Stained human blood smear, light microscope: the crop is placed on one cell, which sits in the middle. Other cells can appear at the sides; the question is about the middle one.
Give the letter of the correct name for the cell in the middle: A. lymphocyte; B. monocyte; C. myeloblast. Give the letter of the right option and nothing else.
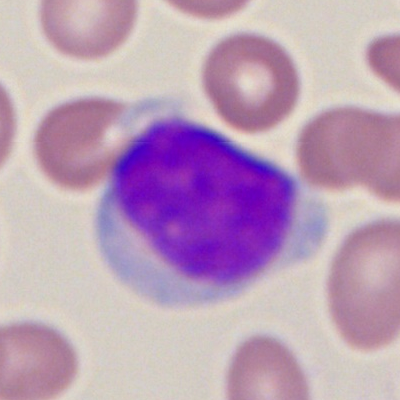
A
